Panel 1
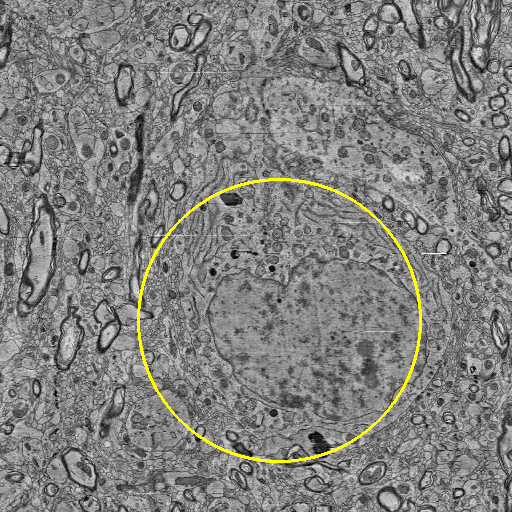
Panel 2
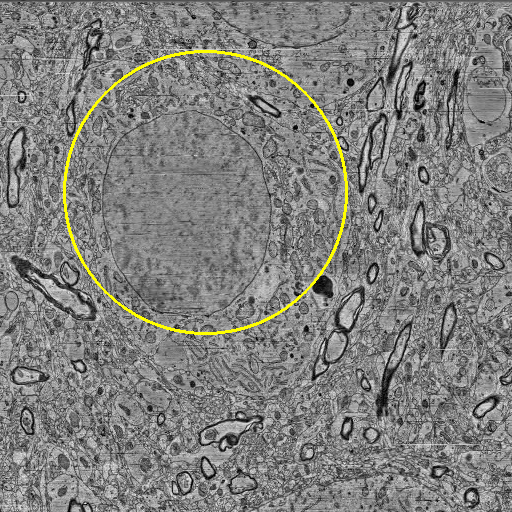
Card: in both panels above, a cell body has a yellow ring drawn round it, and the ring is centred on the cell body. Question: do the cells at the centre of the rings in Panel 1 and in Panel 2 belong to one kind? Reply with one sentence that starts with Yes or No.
Yes, the cells centred in the rings of Panel 1 and Panel 2 are one kind of cell.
